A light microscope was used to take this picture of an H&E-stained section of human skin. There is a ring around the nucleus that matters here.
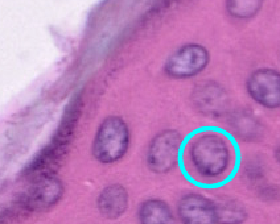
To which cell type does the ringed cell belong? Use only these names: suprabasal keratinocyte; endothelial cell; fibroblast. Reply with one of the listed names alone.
suprabasal keratinocyte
